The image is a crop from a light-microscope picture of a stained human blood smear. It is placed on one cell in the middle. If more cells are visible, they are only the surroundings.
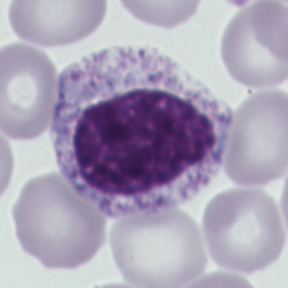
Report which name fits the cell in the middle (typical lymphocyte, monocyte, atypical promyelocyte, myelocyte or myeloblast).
myelocyte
